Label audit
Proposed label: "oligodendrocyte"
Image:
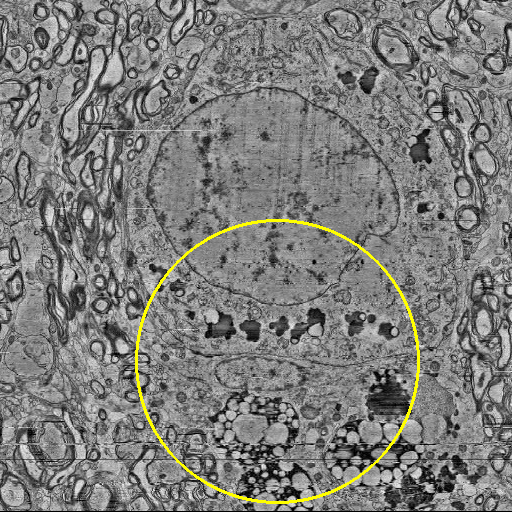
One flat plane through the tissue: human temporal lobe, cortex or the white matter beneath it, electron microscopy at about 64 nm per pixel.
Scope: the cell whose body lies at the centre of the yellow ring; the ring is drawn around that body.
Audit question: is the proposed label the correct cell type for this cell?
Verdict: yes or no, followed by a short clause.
No, this cell is of another type.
